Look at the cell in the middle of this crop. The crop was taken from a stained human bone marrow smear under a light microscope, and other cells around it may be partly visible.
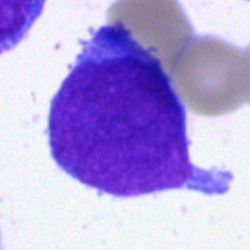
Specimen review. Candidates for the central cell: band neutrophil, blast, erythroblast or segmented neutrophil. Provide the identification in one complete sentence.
The cell the crop is centered on is a blast.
